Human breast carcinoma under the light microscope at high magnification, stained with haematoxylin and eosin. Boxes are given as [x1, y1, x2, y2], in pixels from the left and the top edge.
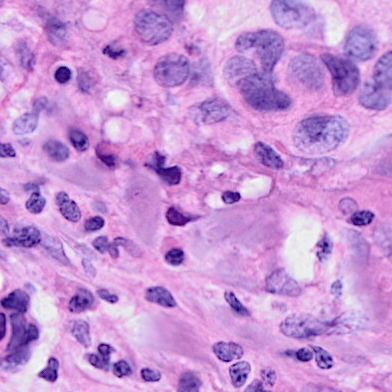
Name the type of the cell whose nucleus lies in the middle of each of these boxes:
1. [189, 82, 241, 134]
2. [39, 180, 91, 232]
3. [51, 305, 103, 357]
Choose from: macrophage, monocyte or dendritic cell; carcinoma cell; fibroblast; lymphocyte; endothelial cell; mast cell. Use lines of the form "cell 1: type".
cell 1: carcinoma cell
cell 2: mast cell
cell 3: macrophage, monocyte or dendritic cell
